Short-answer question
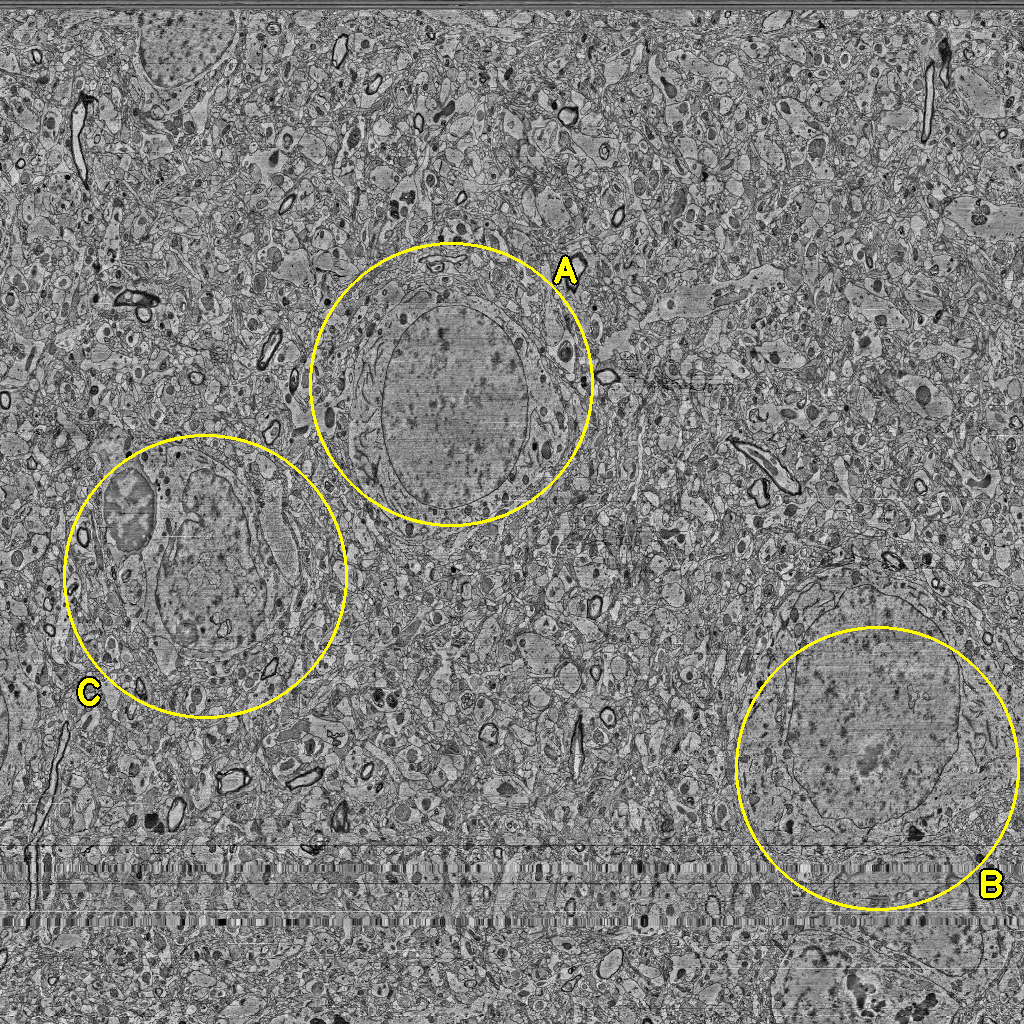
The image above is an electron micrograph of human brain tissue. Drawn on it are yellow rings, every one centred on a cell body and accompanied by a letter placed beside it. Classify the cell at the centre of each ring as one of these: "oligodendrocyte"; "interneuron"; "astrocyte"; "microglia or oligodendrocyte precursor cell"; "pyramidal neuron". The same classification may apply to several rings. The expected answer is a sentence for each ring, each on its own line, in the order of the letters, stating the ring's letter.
The cell at ring A is classified as a pyramidal neuron.
The cell at ring B is classified as a pyramidal neuron.
The cell at ring C is classified as an interneuron.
